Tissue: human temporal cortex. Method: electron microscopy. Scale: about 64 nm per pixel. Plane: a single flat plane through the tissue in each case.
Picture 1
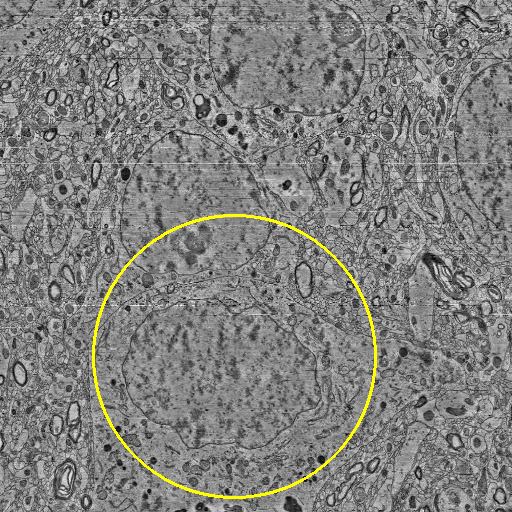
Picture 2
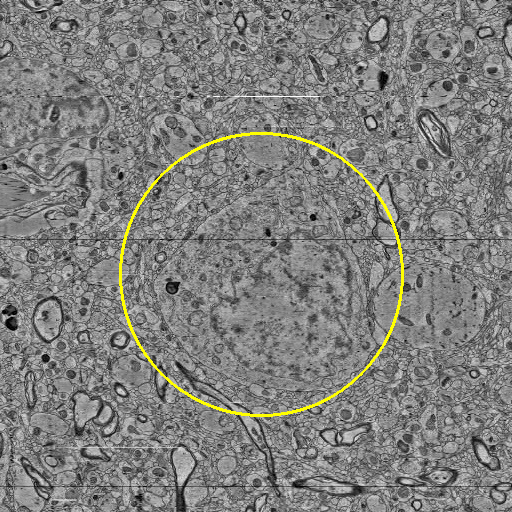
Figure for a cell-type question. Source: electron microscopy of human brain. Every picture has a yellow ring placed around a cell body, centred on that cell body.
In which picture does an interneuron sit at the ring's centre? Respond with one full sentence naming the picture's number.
The cell in the middle of the ring in picture 2 is the one sought.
